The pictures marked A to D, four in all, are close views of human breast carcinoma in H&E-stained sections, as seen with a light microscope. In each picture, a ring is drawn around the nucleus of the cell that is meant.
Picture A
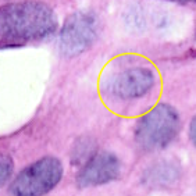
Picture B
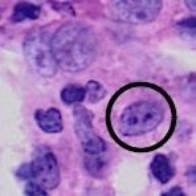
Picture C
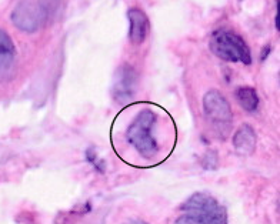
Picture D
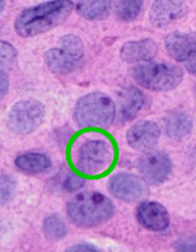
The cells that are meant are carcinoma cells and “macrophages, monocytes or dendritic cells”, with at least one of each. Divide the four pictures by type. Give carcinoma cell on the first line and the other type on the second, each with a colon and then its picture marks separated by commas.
carcinoma cell: A, D
macrophage, monocyte or dendritic cell: B, C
